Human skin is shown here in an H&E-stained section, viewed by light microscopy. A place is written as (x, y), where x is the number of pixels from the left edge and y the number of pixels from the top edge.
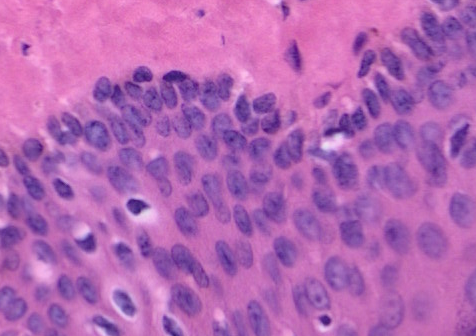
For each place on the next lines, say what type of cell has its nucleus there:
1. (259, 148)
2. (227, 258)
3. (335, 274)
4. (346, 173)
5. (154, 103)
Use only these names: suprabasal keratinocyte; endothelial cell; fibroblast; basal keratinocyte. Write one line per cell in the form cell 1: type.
cell 1: basal keratinocyte
cell 2: suprabasal keratinocyte
cell 3: suprabasal keratinocyte
cell 4: basal keratinocyte
cell 5: basal keratinocyte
